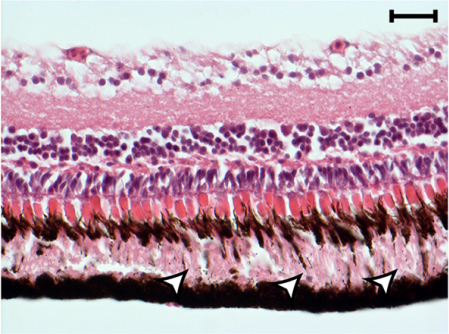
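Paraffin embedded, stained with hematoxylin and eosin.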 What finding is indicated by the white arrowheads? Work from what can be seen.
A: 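Pale pink gaps with little pigment lie above this layer.
Answer: regions where pigmented cells have been lost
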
